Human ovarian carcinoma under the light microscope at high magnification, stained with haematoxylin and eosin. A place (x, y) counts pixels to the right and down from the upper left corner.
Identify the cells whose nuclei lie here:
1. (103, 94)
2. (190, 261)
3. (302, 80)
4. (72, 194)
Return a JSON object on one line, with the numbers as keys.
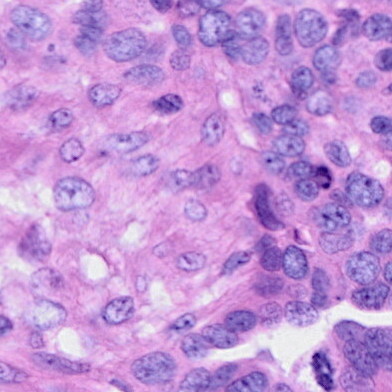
{"1": "fibroblast", "2": "fibroblast", "3": "carcinoma cell", "4": "fibroblast"}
